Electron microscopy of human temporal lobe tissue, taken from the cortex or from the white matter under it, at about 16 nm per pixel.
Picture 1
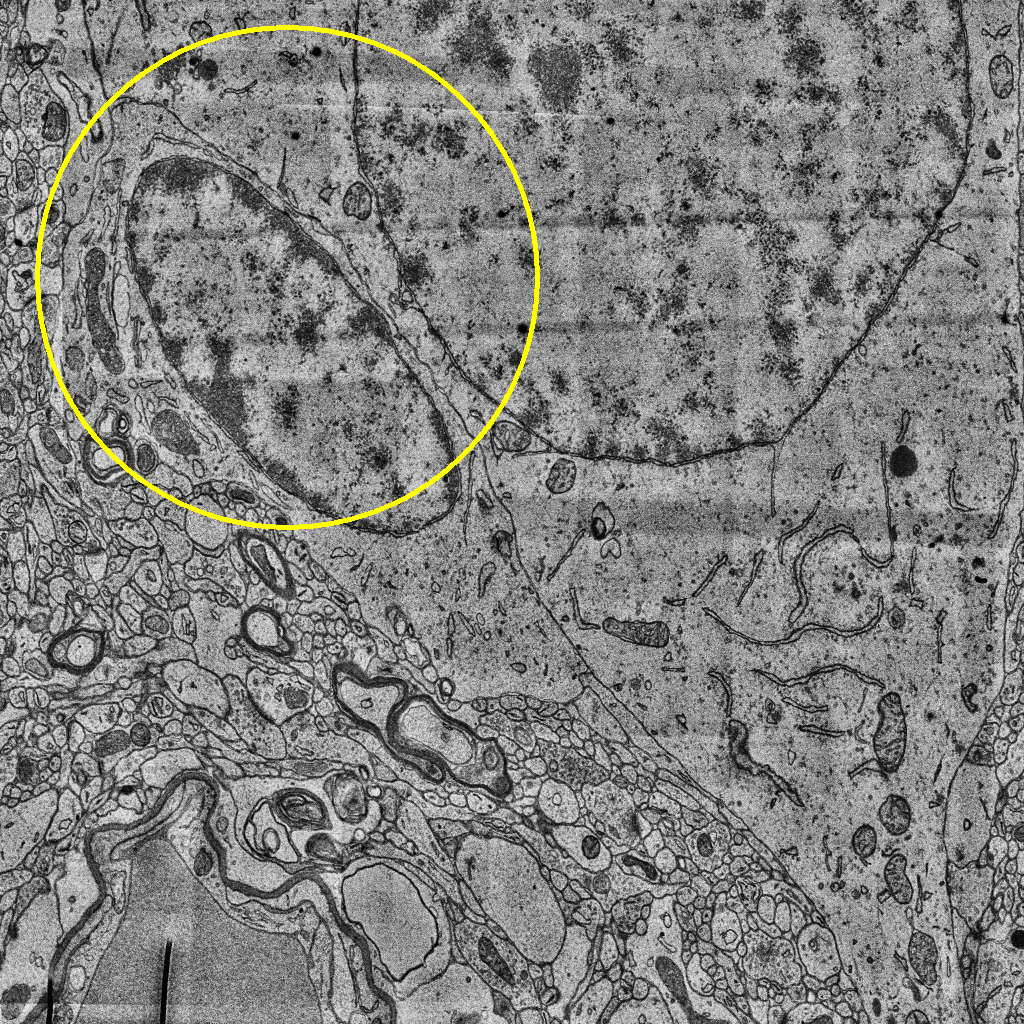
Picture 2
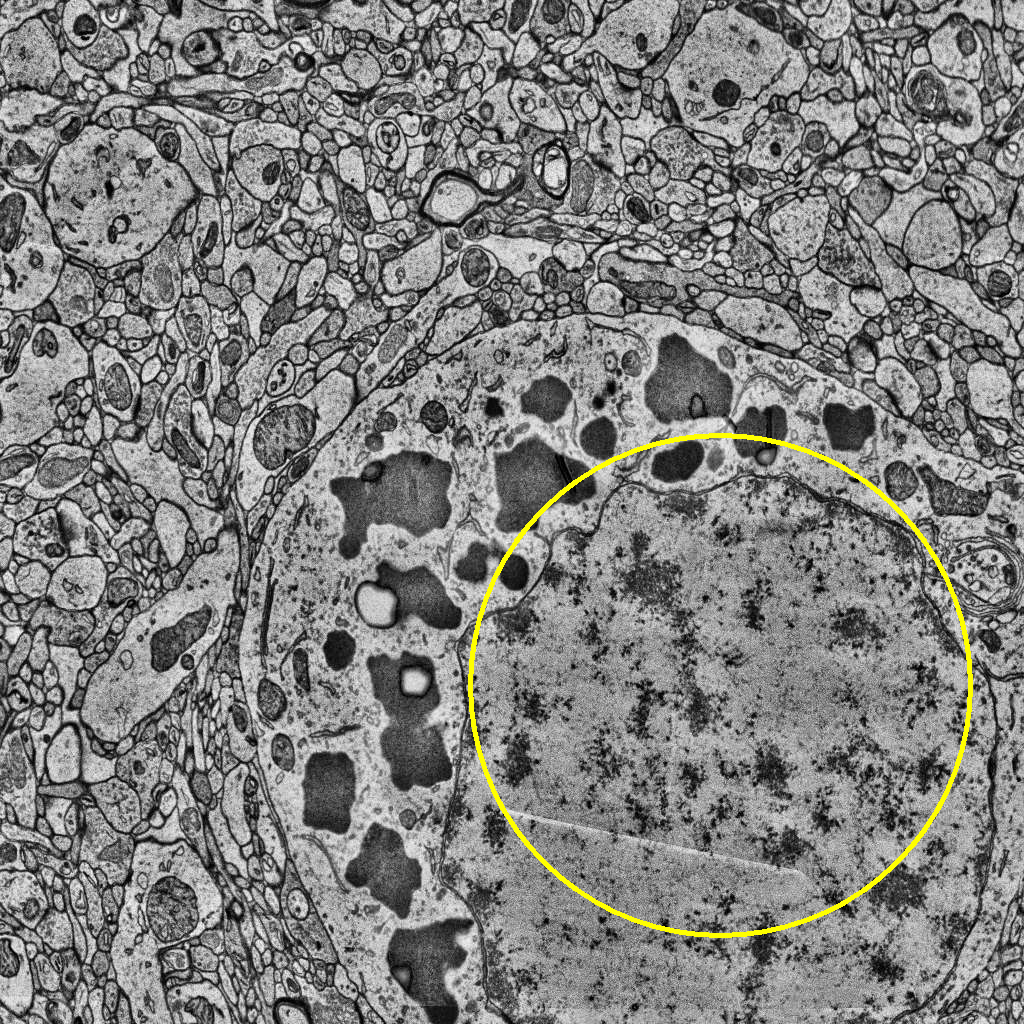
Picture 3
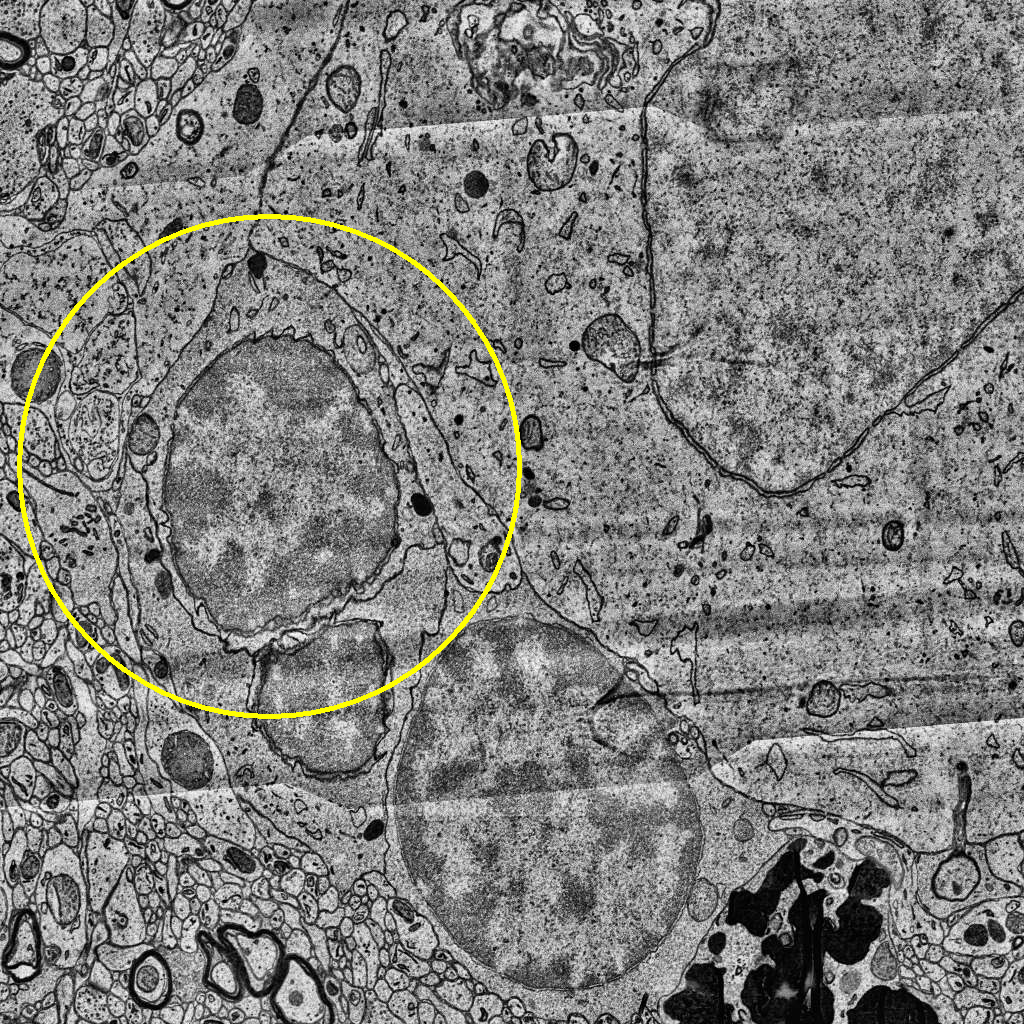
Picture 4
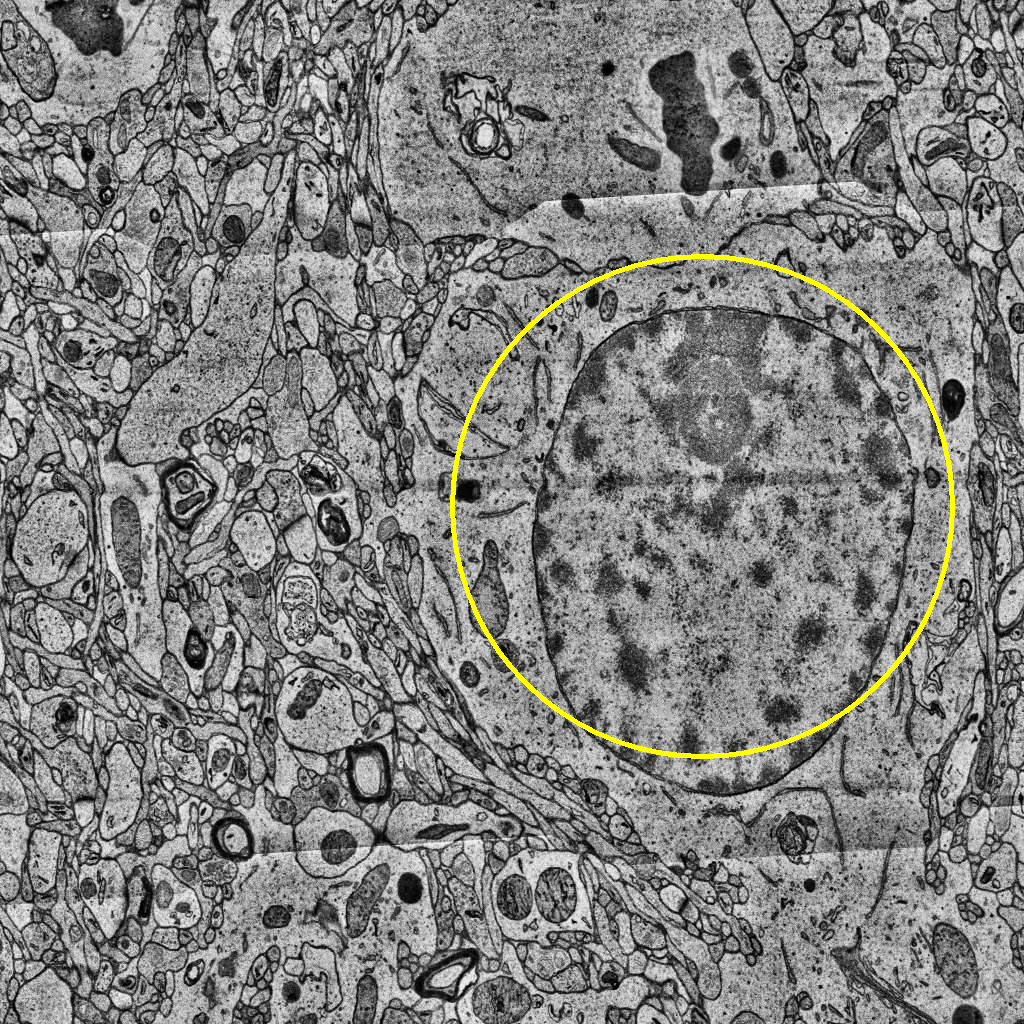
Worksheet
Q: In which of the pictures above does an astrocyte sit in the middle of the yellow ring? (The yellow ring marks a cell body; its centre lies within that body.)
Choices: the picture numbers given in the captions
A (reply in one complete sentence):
In picture 4, the cell sitting at the centre of the ring is the match.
